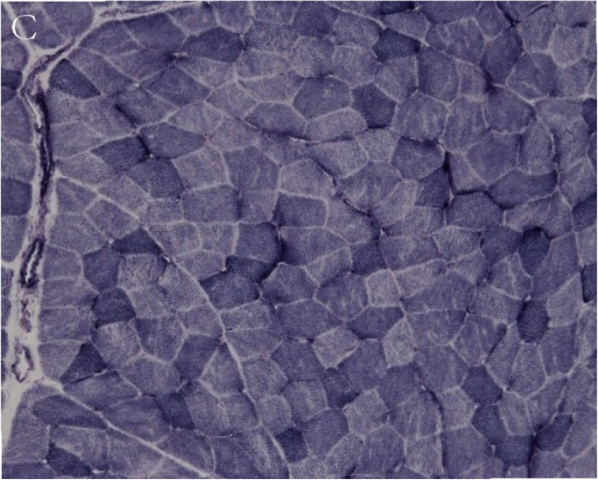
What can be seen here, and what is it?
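Cross-sectioned skeletal muscle fibers are stained in shades of blue-purple, with darker and paler fibers intermingled in a checkerboard pattern. Within each fiber a fine, even network of stain is visible, without cores, clear patches or clumped dark deposits. The fibers are polygonal and fairly uniform, and connective tissue with a vessel runs along the left edge.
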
